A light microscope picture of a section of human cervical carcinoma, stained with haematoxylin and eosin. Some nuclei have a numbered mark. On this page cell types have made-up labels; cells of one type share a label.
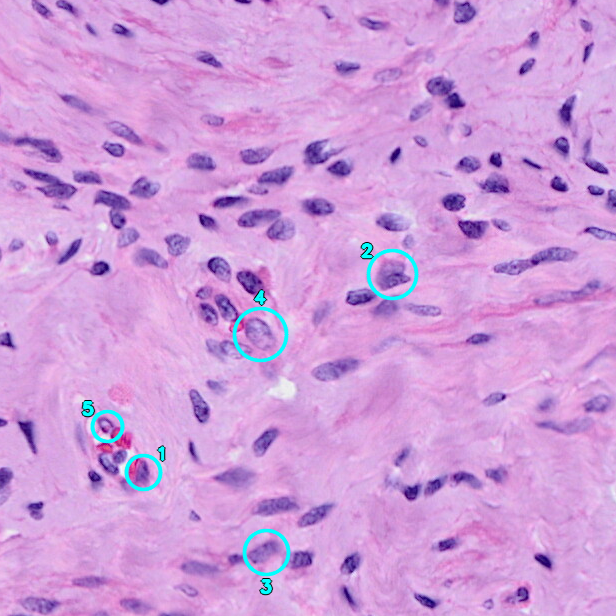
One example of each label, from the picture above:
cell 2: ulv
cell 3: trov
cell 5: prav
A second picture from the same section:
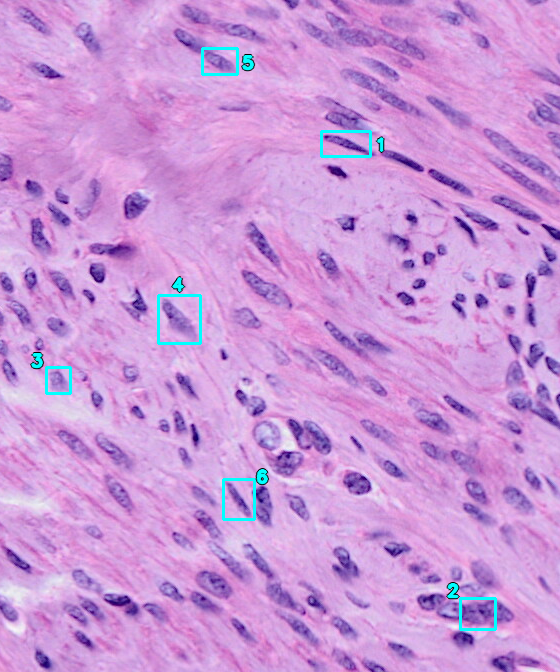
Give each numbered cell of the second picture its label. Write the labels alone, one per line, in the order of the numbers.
ulv
prav
trov
ulv
trov
ulv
